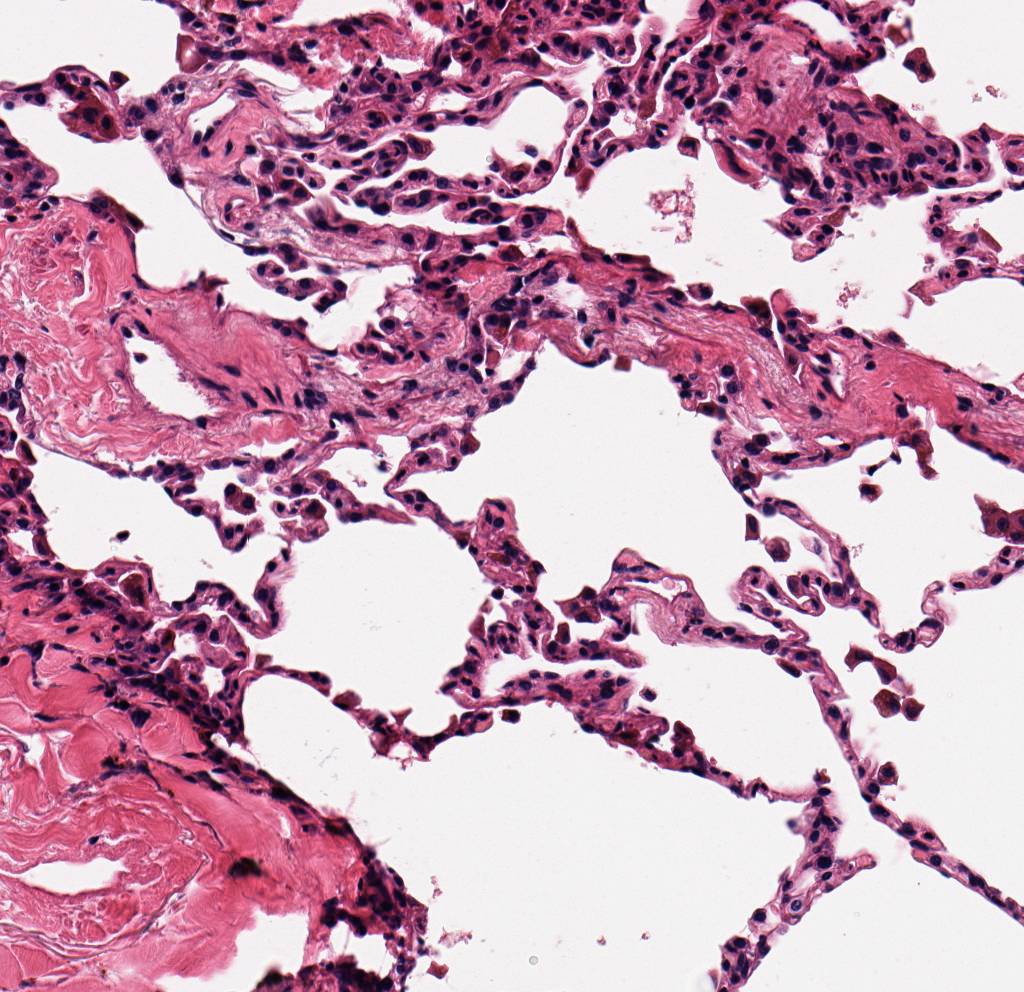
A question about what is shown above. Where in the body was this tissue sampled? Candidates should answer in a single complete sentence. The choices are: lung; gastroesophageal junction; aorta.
It was from the lung that this tissue was sampled.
